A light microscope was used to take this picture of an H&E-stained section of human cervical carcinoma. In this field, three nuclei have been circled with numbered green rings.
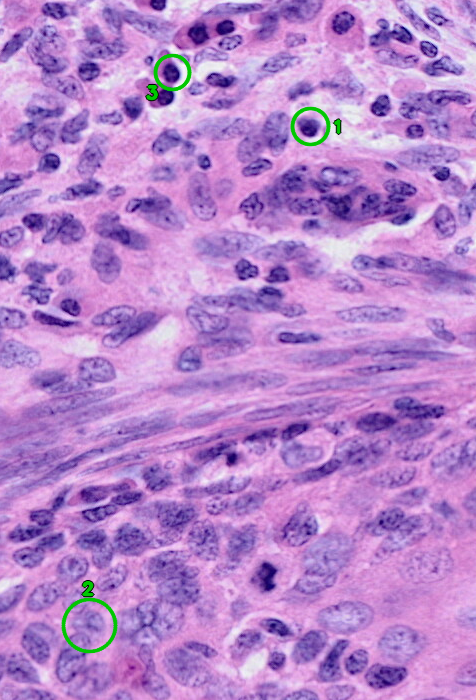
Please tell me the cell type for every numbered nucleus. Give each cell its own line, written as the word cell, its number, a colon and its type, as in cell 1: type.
cell 1: lymphocyte
cell 2: squamous carcinoma cell
cell 3: lymphocyte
